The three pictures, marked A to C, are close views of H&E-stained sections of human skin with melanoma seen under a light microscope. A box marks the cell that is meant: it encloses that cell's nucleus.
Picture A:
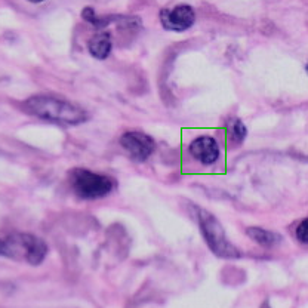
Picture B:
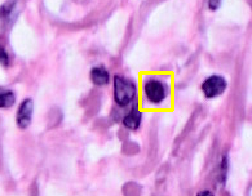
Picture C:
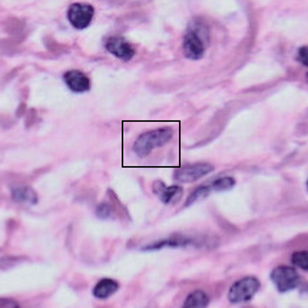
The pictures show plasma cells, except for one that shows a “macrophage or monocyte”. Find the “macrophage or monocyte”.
C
